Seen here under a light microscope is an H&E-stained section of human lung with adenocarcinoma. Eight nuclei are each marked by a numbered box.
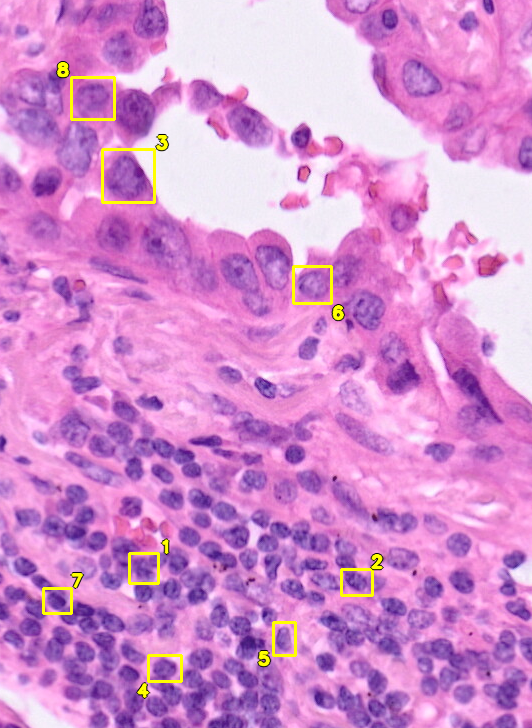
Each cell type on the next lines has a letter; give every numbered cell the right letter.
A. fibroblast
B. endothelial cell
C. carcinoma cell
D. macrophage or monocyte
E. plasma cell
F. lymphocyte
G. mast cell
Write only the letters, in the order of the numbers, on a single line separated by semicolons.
F; F; C; F; F; C; F; C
